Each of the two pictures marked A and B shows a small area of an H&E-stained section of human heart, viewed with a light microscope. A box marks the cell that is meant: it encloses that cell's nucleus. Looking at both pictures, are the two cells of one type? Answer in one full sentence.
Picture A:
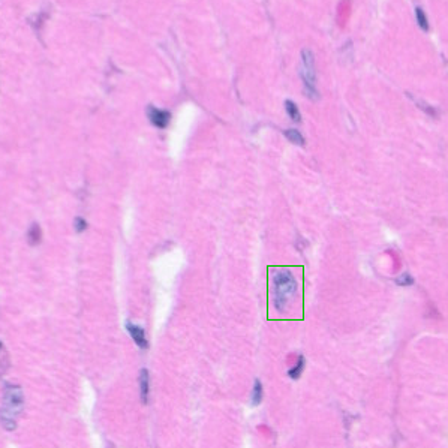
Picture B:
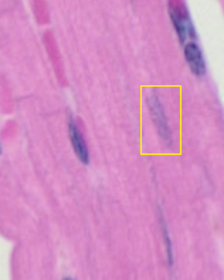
Yes, both are cardiomyocytes.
